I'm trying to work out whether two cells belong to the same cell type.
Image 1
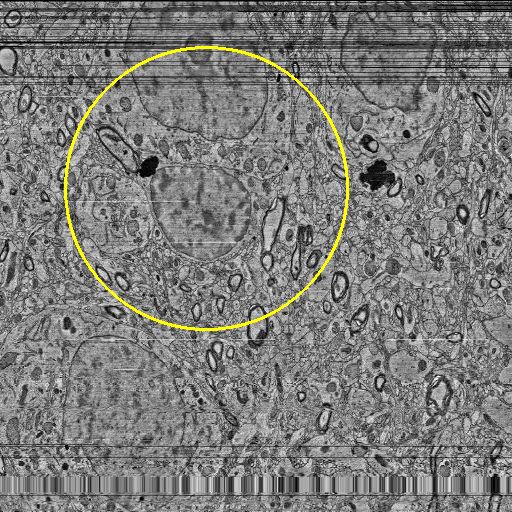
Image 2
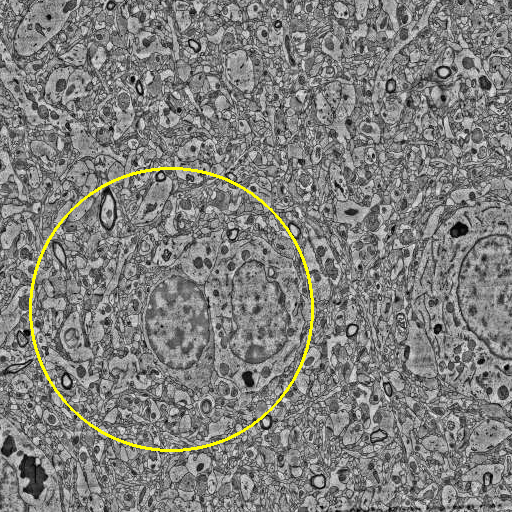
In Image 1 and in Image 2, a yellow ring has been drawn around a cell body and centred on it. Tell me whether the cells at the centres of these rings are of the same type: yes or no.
yes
